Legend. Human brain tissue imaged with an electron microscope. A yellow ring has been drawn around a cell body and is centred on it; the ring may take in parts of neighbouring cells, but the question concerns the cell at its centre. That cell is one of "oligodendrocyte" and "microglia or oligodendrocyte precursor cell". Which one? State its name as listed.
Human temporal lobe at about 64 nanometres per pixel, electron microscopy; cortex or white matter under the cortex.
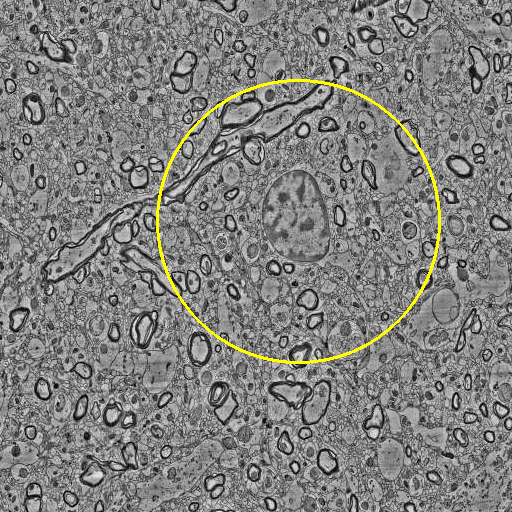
microglia or oligodendrocyte precursor cell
